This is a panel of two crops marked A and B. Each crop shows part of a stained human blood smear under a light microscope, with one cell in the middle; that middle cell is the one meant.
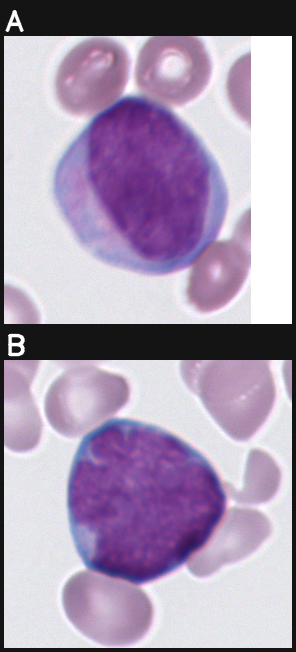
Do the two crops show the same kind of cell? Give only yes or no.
no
